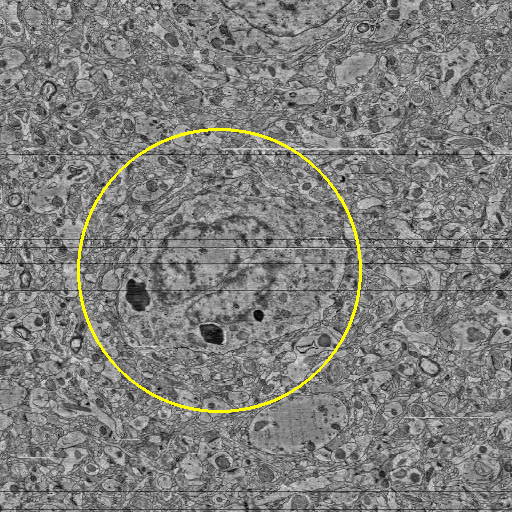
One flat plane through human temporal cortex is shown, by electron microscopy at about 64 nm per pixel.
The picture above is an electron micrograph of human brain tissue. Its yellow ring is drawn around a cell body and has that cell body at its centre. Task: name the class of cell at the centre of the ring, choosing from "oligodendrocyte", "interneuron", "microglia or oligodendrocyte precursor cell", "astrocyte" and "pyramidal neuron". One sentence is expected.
The ring surrounds the body of an interneuron.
